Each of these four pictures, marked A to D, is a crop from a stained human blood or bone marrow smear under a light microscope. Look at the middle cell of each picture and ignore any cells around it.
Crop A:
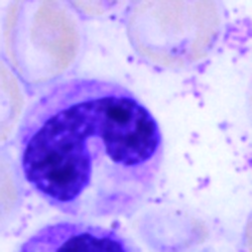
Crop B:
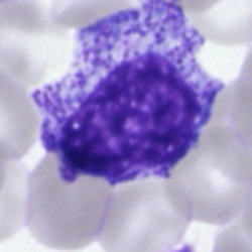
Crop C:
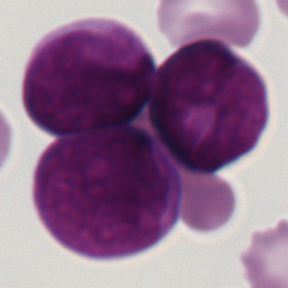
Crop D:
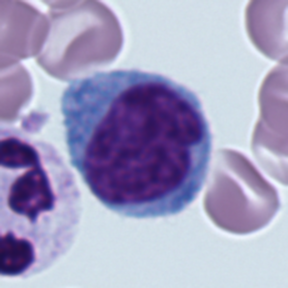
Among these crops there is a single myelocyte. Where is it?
B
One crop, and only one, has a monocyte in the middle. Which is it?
D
